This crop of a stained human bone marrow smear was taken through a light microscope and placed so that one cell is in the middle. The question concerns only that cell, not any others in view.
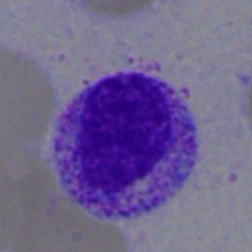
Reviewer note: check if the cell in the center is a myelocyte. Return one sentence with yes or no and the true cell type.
Yes, the cell at the heart of the crop is a myelocyte.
